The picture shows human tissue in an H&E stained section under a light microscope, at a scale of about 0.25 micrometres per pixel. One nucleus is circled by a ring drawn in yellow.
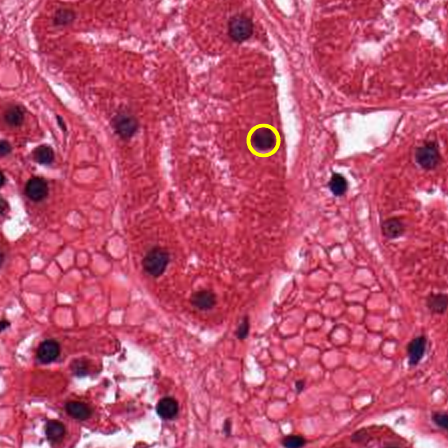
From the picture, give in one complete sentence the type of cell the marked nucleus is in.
Located in a proximal tubule cell is the marked nucleus.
